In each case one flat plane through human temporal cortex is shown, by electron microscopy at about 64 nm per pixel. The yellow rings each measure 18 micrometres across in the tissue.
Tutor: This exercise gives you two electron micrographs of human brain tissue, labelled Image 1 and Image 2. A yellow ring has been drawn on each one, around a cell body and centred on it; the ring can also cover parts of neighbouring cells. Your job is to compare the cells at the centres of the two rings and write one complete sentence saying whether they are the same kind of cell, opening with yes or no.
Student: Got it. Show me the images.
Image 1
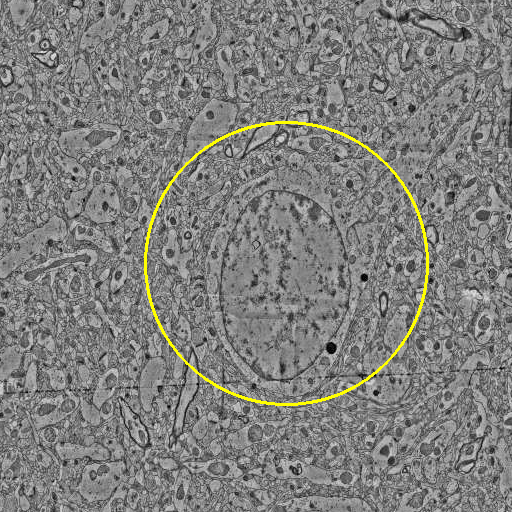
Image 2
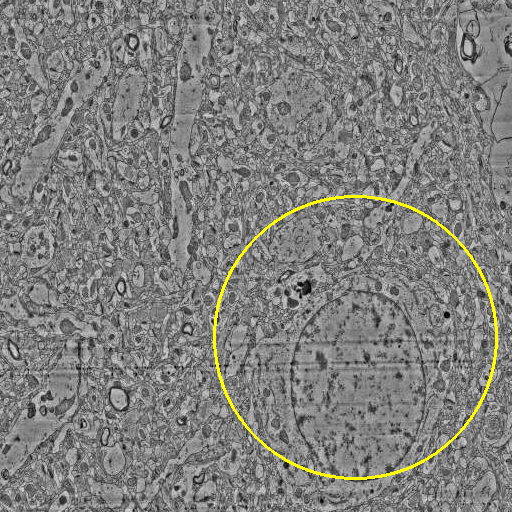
Yes, the two cells belong to the same kind.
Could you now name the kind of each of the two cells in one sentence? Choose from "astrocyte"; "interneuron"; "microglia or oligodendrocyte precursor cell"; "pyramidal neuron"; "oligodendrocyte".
Each cell, in the first picture and the second, is a pyramidal neuron.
